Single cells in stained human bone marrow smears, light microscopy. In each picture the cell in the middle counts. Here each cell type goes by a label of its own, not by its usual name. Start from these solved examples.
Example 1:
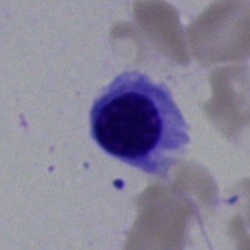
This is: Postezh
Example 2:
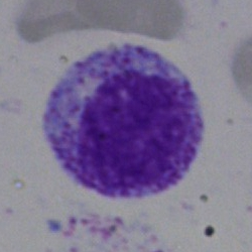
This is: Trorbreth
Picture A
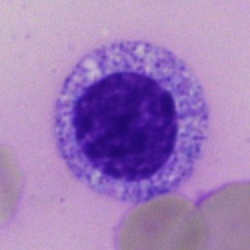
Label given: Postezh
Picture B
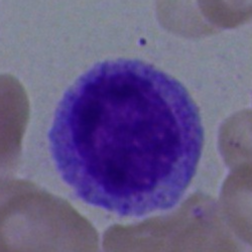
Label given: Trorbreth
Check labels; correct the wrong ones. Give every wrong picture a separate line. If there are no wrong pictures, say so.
Wrong: A (Postezh); correct: Trorbreth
